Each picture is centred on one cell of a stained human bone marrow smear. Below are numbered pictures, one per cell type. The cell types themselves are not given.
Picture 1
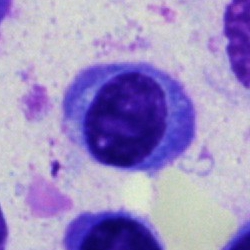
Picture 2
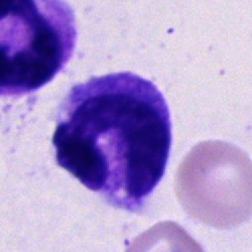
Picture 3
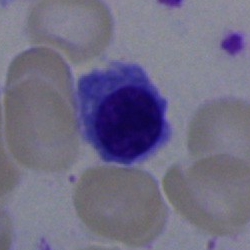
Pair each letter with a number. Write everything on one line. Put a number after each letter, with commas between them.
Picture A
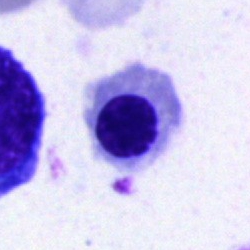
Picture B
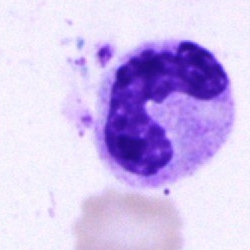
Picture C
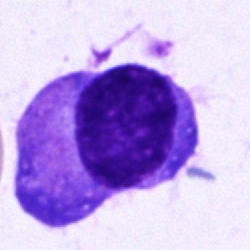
A 3, B 2, C 1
